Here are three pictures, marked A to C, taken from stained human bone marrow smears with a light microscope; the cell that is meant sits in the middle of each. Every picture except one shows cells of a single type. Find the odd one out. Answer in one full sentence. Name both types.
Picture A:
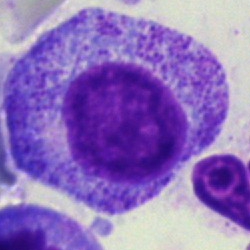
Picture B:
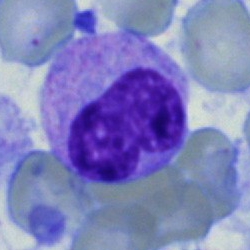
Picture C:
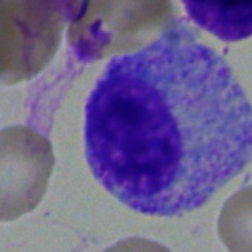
Picture B is the odd one out: it shows a metamyelocyte, while the others show myelocytes.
